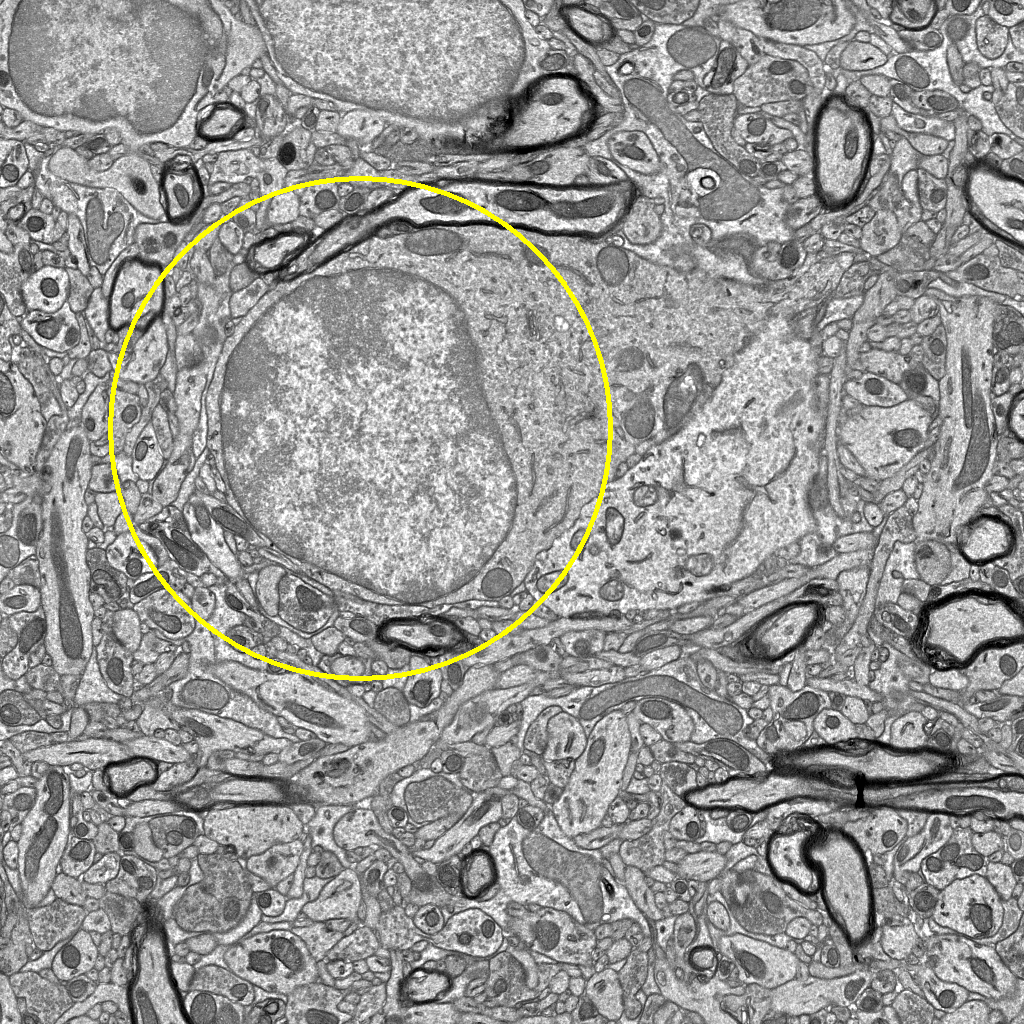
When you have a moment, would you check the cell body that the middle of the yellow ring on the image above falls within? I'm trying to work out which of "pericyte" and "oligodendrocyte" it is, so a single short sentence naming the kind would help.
This cell body belongs to an oligodendrocyte.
